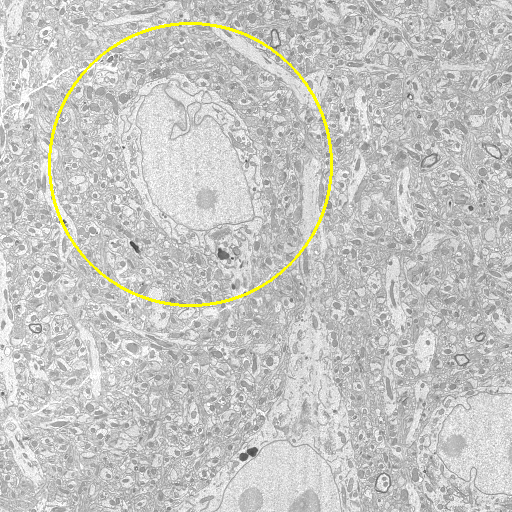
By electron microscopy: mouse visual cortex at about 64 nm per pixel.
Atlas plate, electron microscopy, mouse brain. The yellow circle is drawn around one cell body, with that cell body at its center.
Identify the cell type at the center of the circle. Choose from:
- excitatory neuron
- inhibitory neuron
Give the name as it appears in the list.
inhibitory neuron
